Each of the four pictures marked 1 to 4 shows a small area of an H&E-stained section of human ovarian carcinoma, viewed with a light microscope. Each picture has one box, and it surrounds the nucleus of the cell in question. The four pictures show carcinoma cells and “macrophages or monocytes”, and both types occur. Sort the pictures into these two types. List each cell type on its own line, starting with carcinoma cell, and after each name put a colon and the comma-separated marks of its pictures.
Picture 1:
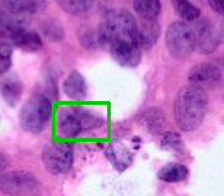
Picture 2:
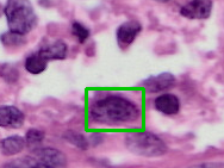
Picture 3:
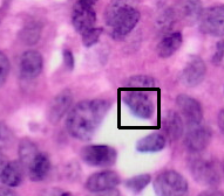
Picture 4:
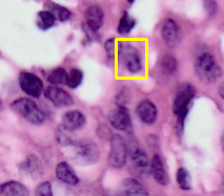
carcinoma cell: 1, 2, 3
macrophage or monocyte: 4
